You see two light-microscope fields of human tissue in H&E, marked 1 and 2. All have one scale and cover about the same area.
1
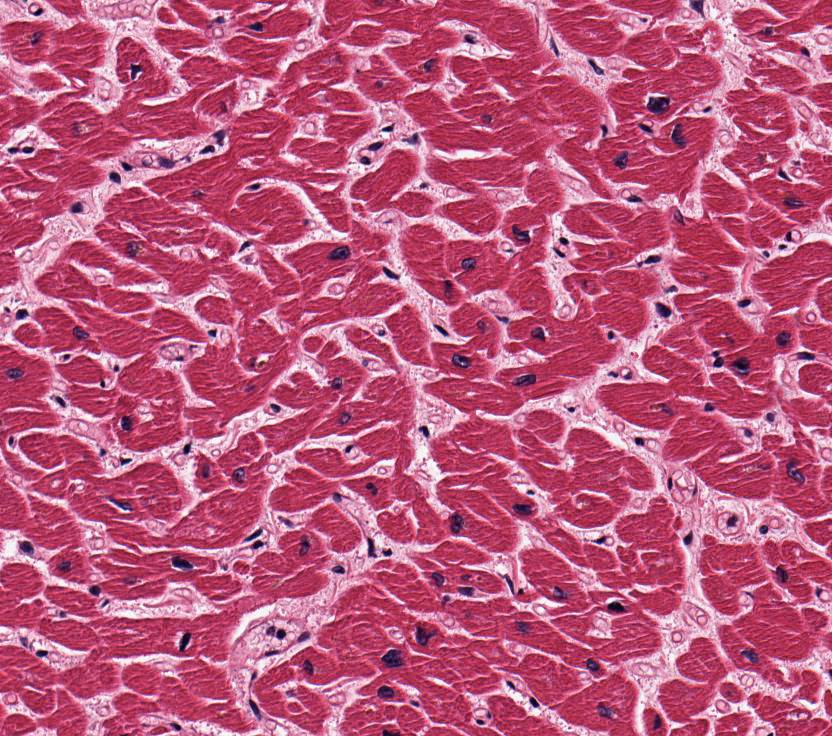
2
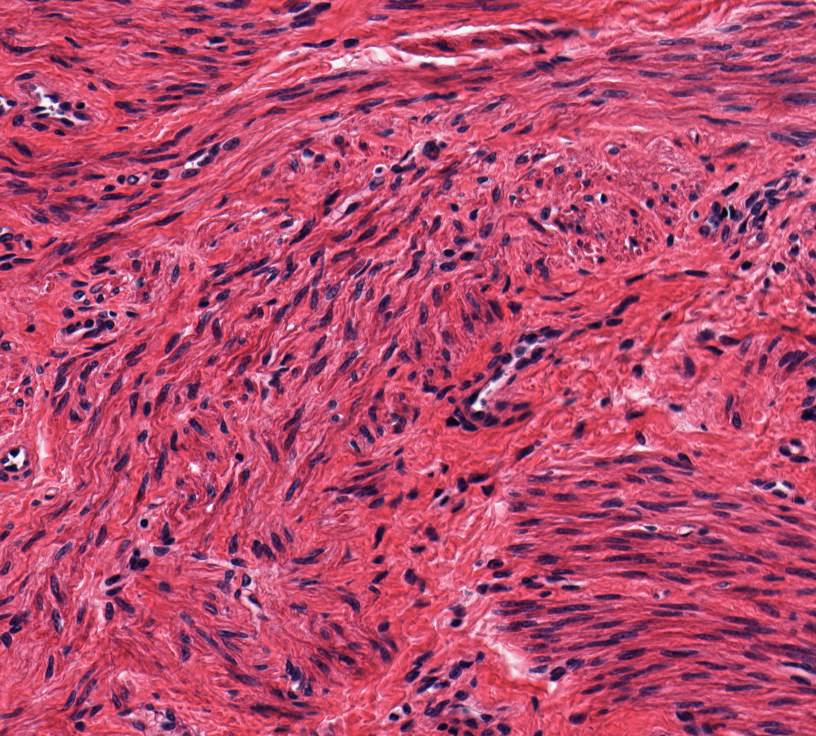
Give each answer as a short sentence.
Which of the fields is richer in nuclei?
Field 2 holds more nuclei than field 1.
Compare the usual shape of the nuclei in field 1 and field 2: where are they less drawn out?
Rounder nuclei lie in field 1.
